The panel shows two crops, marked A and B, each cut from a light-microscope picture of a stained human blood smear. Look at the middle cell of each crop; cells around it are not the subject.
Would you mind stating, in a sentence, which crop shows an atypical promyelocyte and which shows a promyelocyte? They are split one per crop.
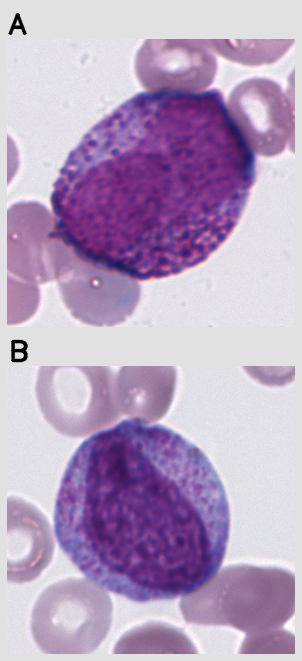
Crop A is a promyelocyte, and, separately, crop B is an atypical promyelocyte.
